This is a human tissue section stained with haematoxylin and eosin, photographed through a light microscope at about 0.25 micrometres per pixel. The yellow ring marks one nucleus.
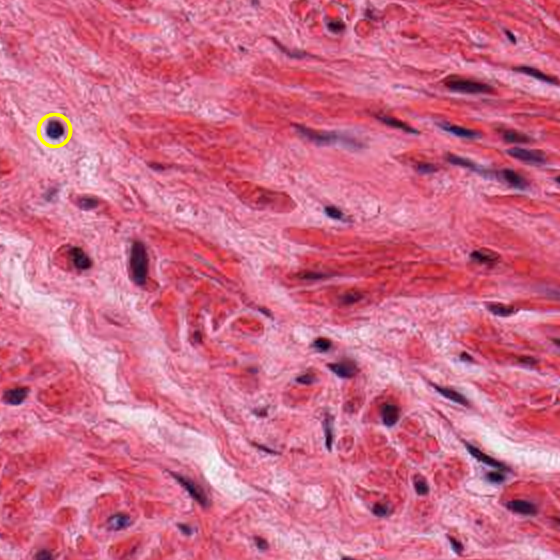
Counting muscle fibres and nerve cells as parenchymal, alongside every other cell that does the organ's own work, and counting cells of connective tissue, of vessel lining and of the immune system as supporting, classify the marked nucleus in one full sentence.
The indicated nucleus in this section belongs to a supporting cell.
